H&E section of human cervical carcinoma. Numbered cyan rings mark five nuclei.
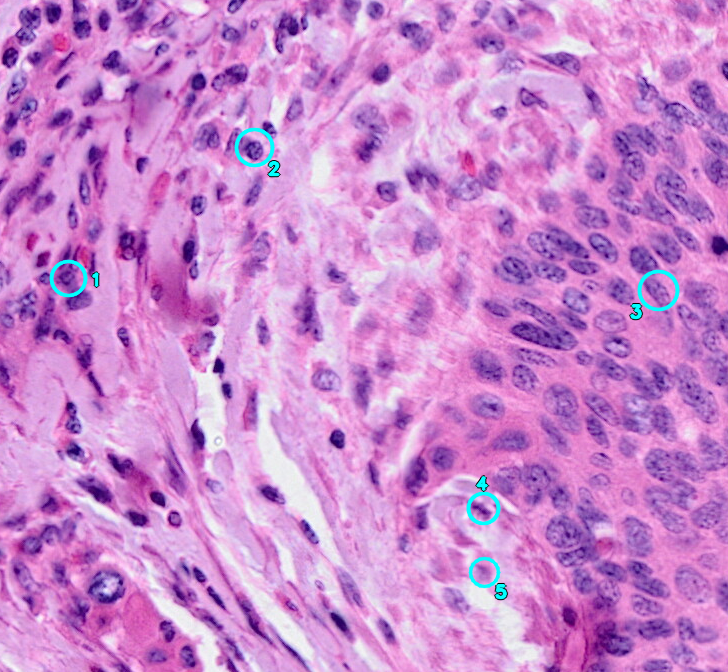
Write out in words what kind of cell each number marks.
Cell 1 is an endothelial cell. Cell 2 is a lymphocyte. Cell 3 is a squamous carcinoma cell. Cells 4 and 5 are fibroblasts.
